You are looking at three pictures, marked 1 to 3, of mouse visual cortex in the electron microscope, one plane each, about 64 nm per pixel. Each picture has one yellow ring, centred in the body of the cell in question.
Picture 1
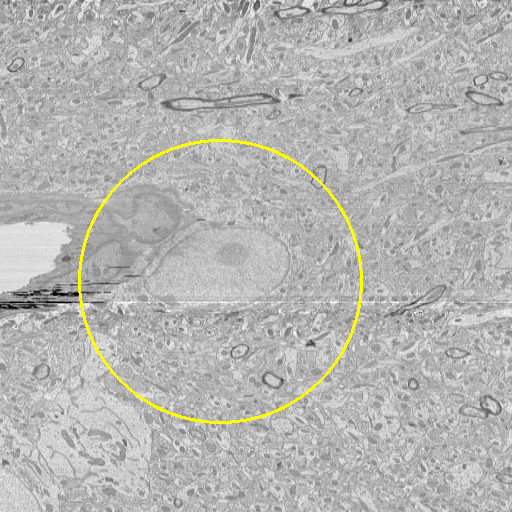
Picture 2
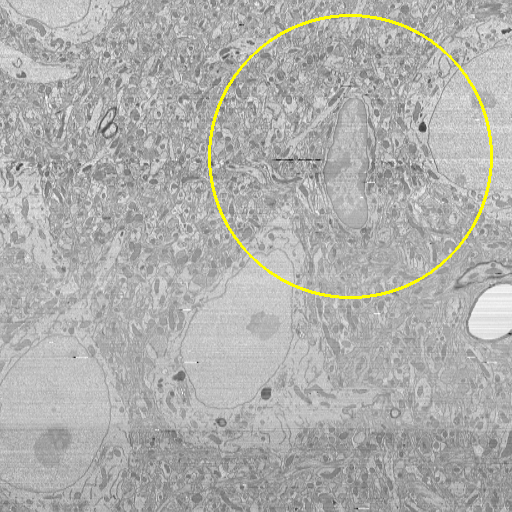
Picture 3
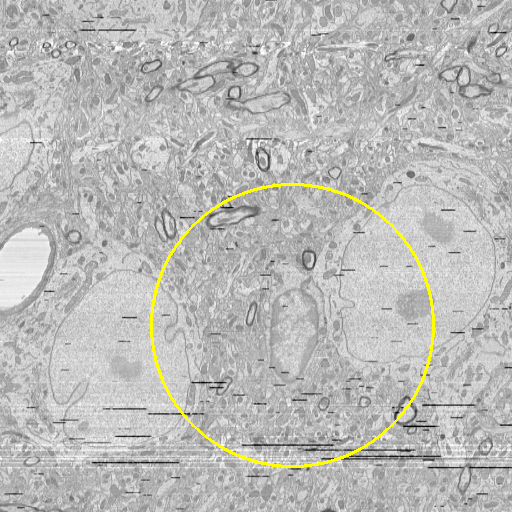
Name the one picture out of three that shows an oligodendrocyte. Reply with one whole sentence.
The oligodendrocyte is the one in picture 3.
